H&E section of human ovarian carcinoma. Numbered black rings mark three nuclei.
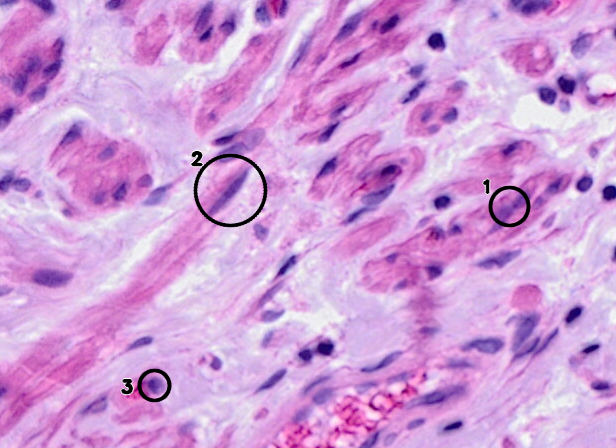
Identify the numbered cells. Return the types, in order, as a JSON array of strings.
["smooth muscle cell", "smooth muscle cell", "endothelial cell"]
